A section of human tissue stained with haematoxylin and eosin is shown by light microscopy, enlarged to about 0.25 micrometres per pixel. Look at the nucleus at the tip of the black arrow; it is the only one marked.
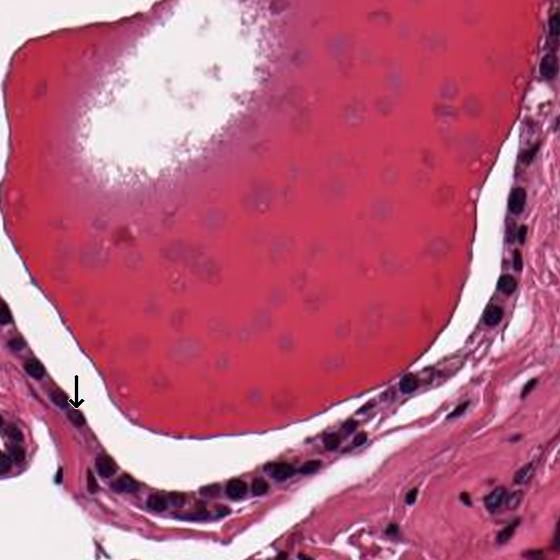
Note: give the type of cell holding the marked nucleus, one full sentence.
The cell that the marked nucleus belongs to is a thyroid follicular cell.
